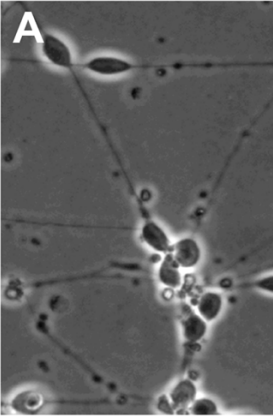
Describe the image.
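This phase-contrast image shows bipolar neurons growing on a flat substrate. Thin processes extend from the cell bodies, often from opposite ends. These processes join long, fine fibres that run across the field and form a loose network. Some fibres are beaded, with small dark swellings along their length.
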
